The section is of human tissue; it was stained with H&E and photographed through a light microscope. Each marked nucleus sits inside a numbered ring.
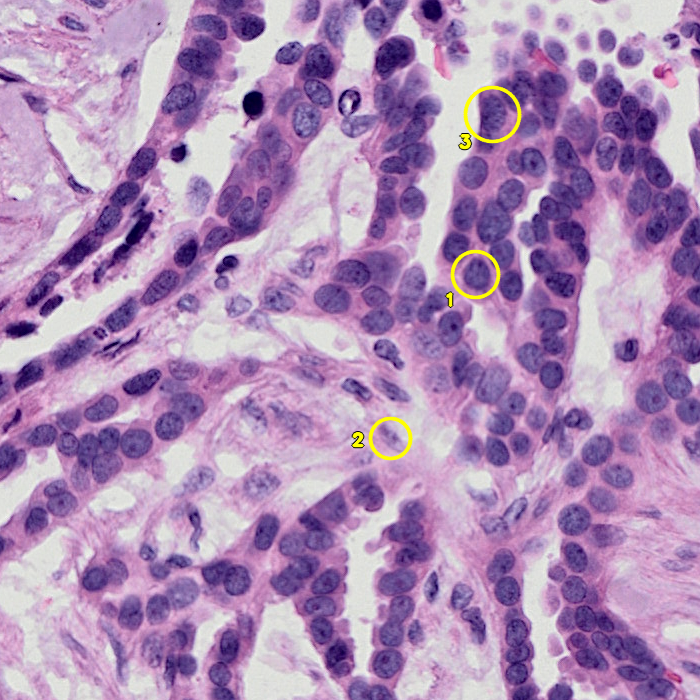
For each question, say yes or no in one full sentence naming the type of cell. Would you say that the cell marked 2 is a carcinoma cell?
No, cell 2 is not a carcinoma cell; a fibroblast is correct.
